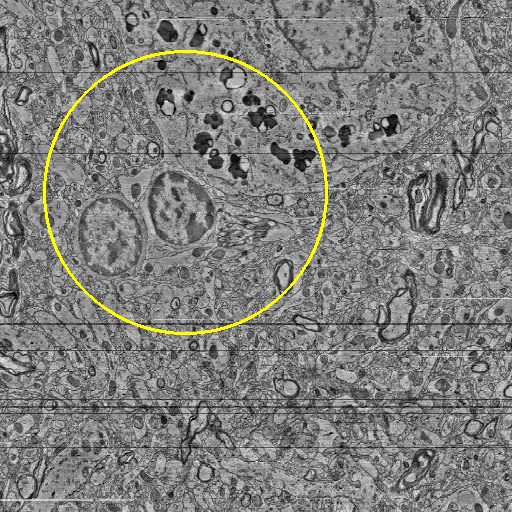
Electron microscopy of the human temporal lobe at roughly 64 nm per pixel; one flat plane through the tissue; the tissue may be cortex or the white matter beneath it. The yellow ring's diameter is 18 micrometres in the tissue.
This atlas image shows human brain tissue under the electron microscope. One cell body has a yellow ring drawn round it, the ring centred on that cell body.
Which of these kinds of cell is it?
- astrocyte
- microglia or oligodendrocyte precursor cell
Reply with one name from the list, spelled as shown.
microglia or oligodendrocyte precursor cell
